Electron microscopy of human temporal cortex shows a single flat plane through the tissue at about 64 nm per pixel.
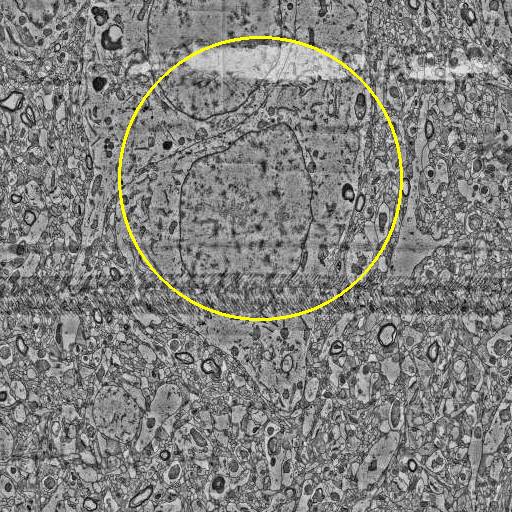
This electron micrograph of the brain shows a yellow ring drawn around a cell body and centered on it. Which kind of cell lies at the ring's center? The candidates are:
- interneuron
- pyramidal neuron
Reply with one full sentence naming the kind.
The cell lying at the ring's center in this micrograph is a pyramidal neuron.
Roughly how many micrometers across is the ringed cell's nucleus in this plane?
In this plane the nucleus spans approximately 13 by 9 micrometers.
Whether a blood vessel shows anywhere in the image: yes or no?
No, there is no blood vessel in the image.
